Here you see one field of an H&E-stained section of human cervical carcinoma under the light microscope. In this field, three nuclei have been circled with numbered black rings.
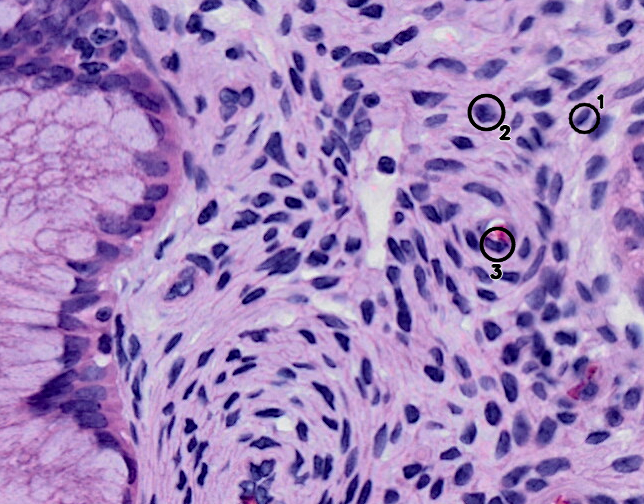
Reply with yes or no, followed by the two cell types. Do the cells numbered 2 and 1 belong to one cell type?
Yes, cells 2 and 1 are both fibroblasts and thus of one type.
